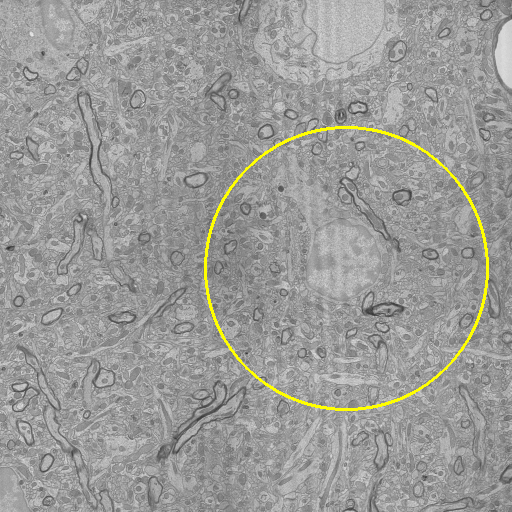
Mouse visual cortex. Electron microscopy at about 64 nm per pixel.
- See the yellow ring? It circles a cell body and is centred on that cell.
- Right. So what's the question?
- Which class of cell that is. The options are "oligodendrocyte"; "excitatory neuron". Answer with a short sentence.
The centre of the ring holds an oligodendrocyte.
